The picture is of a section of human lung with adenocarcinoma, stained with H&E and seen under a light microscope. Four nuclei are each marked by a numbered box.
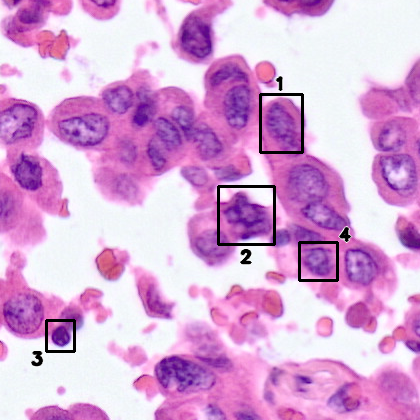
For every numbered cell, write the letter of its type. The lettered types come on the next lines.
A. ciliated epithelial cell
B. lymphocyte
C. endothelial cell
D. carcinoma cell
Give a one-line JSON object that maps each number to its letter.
{"1": "D", "2": "D", "3": "B", "4": "D"}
